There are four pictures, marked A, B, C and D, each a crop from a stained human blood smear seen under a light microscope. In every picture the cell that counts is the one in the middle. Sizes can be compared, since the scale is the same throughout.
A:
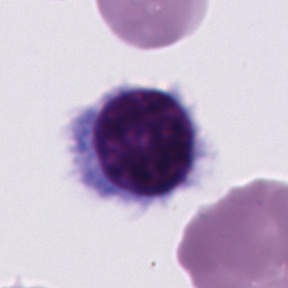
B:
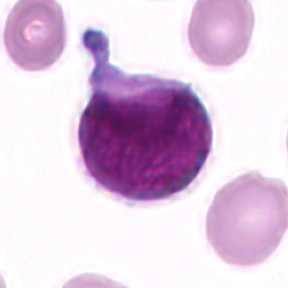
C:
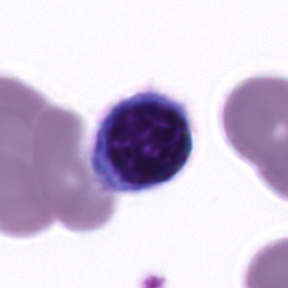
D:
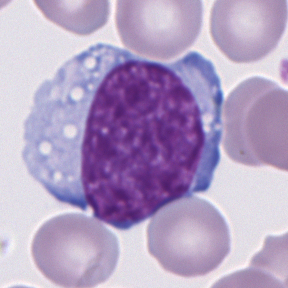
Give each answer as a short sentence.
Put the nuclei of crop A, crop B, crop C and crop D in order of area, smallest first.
Going up, they run C, A, B, D.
